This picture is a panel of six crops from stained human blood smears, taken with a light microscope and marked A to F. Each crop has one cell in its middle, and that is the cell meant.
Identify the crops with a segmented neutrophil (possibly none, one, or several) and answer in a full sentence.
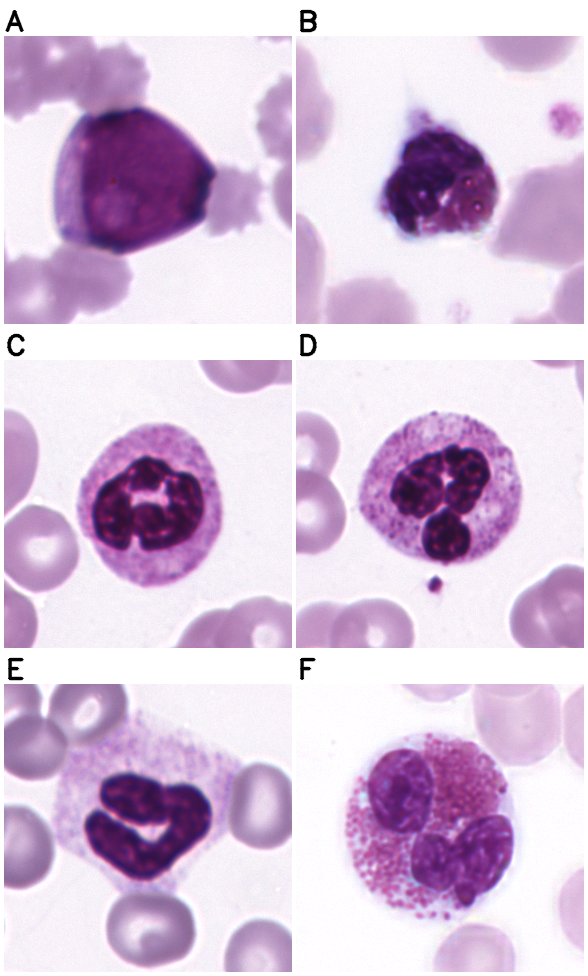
Of the crops in this set, C, D and E show segmented neutrophils.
